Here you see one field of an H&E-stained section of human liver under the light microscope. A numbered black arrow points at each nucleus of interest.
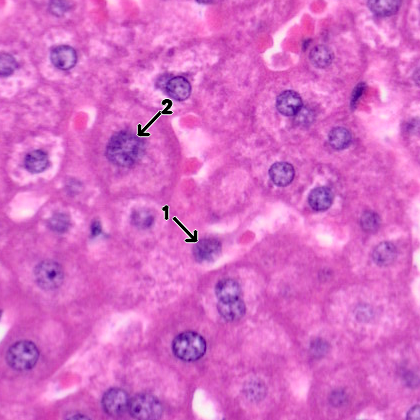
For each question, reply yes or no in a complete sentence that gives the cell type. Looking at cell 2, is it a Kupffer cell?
No, the cell carrying number 2 is a hepatocyte rather than a Kupffer cell.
